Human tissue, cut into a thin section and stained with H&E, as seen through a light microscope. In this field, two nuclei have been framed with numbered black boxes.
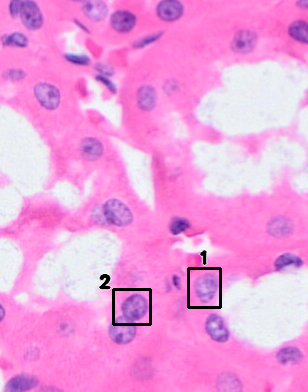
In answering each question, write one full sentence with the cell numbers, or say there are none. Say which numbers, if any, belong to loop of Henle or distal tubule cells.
Among the numbered cells, the one that is a loop of Henle or distal tubule cell is cell 1 alone.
